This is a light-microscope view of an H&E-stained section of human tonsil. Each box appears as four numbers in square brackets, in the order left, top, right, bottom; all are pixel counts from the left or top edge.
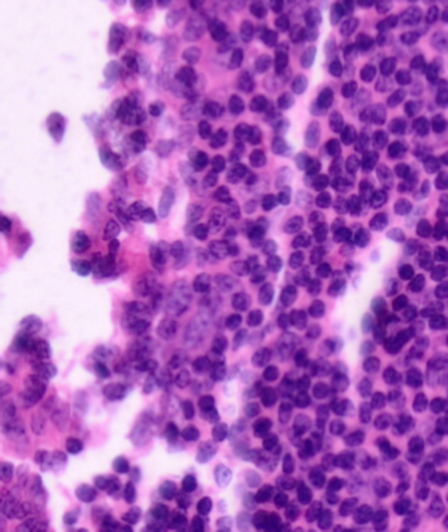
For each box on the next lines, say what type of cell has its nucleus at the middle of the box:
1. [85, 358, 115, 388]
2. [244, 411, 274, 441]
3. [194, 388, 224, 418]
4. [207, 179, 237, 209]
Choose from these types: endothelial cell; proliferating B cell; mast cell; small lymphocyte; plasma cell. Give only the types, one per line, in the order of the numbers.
proliferating B cell
small lymphocyte
small lymphocyte
small lymphocyte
